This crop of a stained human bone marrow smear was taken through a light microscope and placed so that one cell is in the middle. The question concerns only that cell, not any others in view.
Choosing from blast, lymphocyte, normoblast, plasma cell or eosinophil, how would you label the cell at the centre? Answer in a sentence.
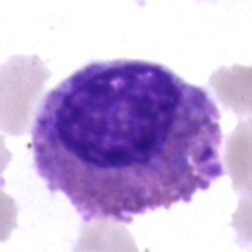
The centered cell in this crop is an eosinophil.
